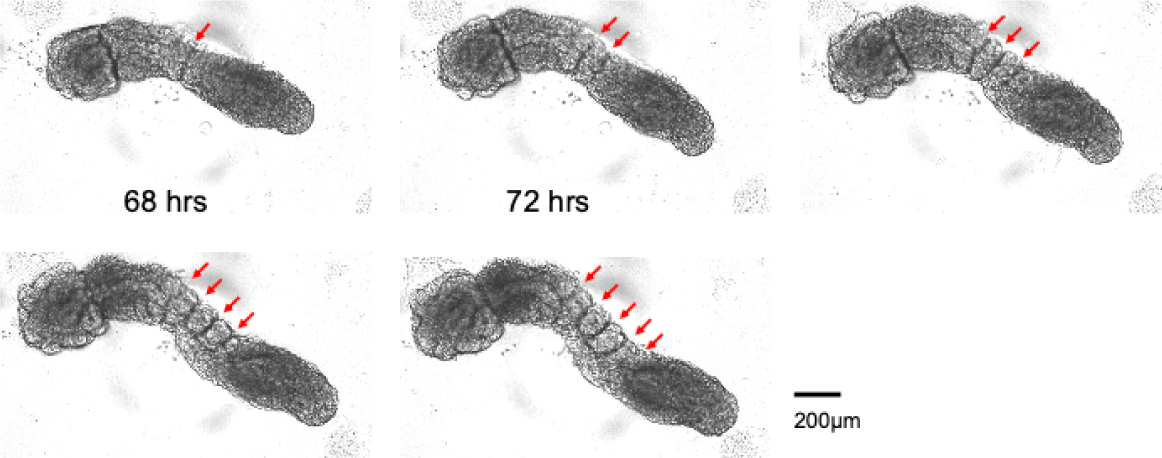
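An elongated, curved multicellular aggregate is seen in a row of brightfield frames. One end is broad and rounded, and the other tapers into a long, sausage-like tail. Between them, thin dark transverse clefts cross the body, marked by red arrows. The clefts cut the tissue into a series of rounded blocks lying one behind another along the long axis. In later frames more clefts and blocks appear in line toward the tapering end. The surface is knobbly and granular at this magnification, without single cells clearly resolved. Loose cells and debris lie around the aggregate.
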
